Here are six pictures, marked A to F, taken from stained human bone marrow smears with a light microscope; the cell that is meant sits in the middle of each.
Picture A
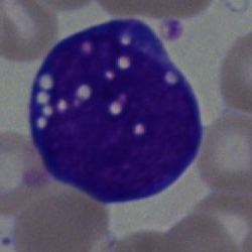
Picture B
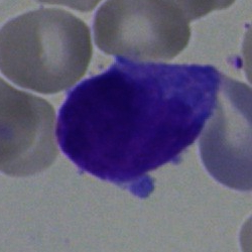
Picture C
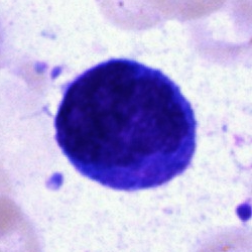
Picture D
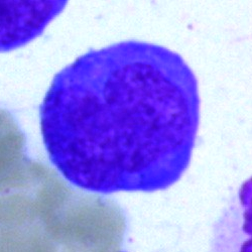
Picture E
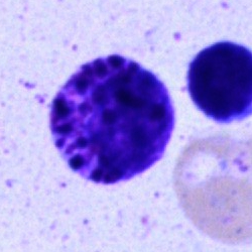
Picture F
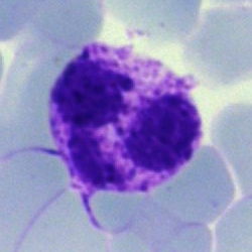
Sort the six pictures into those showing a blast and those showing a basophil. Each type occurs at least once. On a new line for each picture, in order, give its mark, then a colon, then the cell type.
A: blast
B: blast
C: blast
D: blast
E: basophil
F: basophil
